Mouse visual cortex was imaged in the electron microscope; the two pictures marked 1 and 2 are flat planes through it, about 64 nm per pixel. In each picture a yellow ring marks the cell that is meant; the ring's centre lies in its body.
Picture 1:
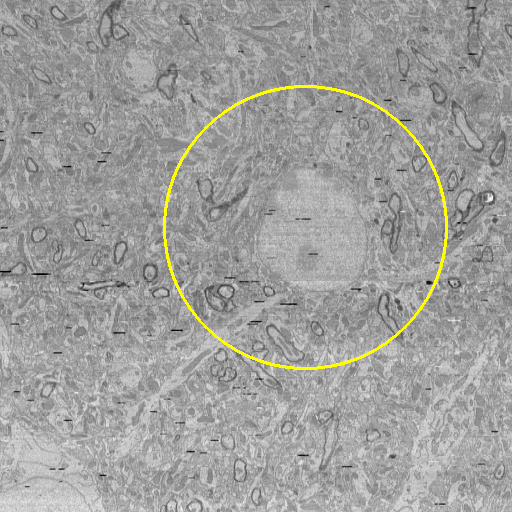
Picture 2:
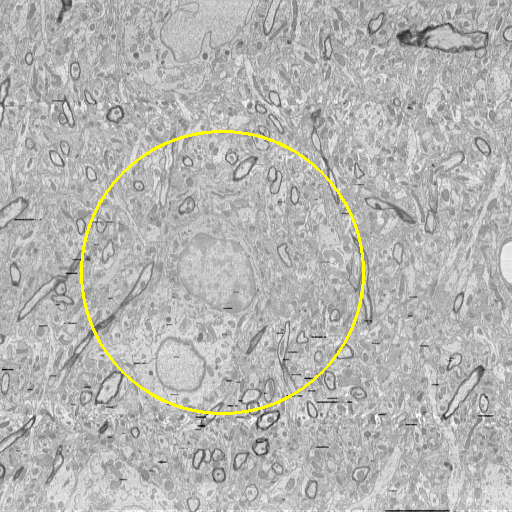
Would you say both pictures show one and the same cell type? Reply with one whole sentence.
No; the cell in picture 1 is an astrocyte, while the one in picture 2 is an oligodendrocyte.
